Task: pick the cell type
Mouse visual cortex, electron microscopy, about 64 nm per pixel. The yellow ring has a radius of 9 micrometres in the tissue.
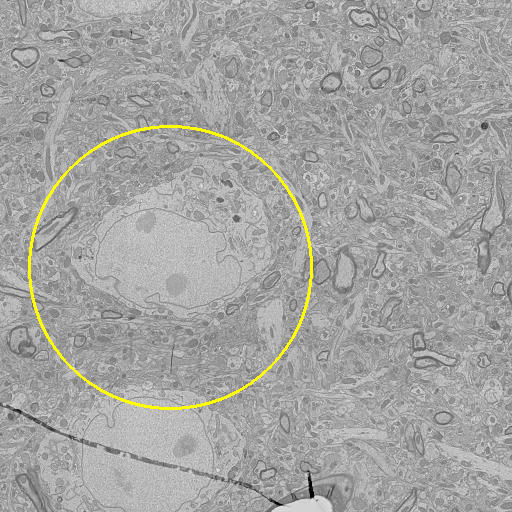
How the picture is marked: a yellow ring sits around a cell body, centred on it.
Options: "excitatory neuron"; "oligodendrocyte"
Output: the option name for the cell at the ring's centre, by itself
excitatory neuron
